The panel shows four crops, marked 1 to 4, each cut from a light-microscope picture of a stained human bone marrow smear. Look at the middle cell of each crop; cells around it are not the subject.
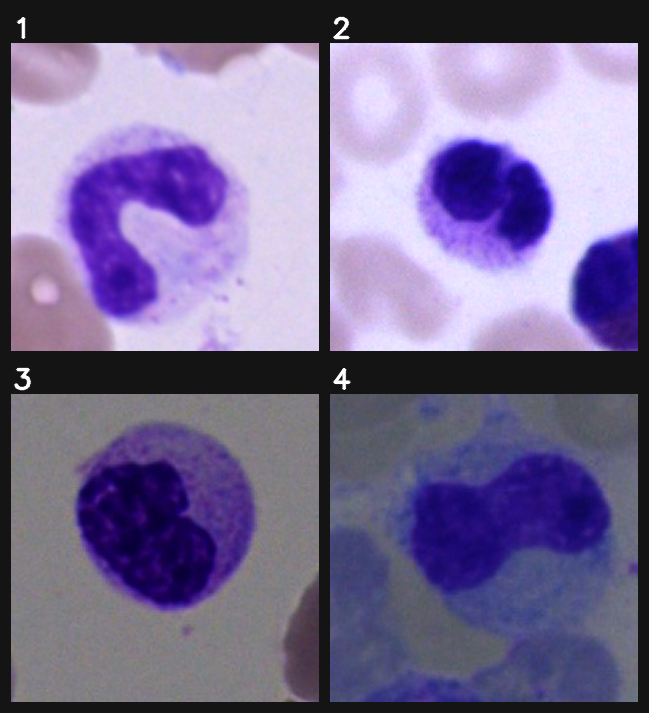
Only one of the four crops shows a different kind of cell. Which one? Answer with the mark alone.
2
